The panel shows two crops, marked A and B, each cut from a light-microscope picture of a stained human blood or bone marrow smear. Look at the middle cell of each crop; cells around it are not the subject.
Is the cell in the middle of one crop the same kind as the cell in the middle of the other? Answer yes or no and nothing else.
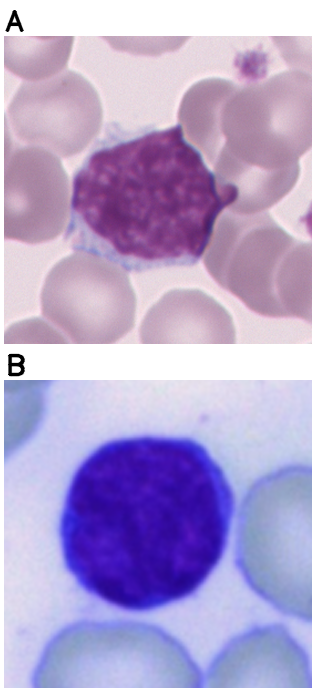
yes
